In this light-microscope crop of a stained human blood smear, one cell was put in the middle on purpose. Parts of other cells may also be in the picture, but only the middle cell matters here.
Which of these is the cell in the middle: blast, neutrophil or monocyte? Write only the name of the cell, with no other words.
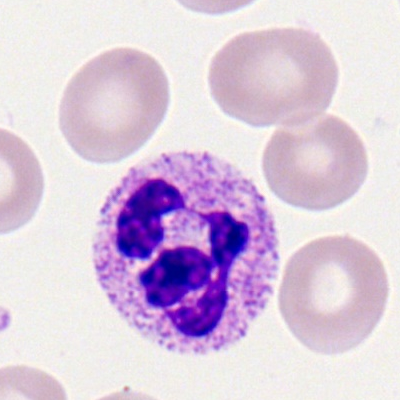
neutrophil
